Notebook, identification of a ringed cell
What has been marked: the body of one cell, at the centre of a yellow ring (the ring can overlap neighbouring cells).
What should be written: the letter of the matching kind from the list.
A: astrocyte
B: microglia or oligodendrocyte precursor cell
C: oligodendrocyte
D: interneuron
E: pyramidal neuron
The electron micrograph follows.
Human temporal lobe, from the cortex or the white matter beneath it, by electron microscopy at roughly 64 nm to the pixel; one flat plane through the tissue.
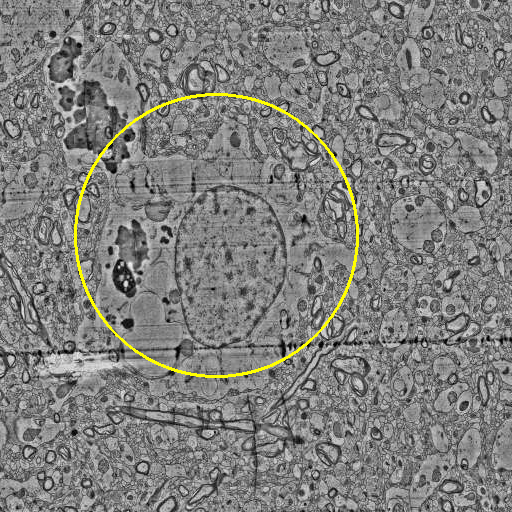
A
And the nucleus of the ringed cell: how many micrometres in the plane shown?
The ringed cell's nucleus is about 10 micrometres long and 7 micrometres wide in this plane.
